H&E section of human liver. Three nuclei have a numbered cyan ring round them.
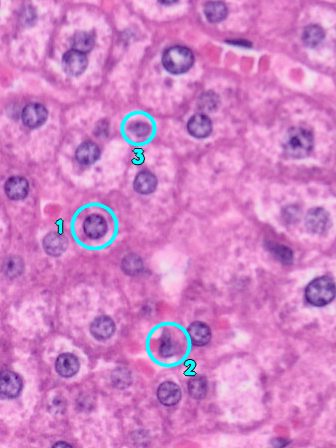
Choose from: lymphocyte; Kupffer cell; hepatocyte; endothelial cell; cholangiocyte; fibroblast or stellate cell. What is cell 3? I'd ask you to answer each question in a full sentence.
Denoted by the label 3 in the section is a Kupffer cell.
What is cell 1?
The cell indicated with the number 1 is classed as a hepatocyte.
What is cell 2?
The correct answer for cell 2 is a Kupffer cell.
